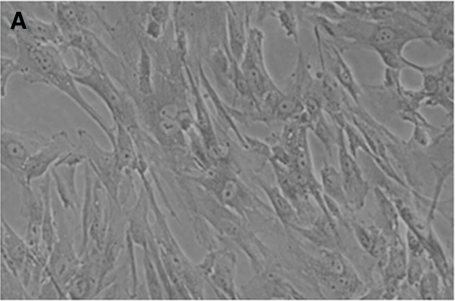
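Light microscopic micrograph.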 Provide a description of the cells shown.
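Many cells are elongated and spindle-shaped, running roughly parallel, while others are broad and flattened. Nuclei are oval with distinct nucleoli, and the cells lie closely packed with overlapping edges.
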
